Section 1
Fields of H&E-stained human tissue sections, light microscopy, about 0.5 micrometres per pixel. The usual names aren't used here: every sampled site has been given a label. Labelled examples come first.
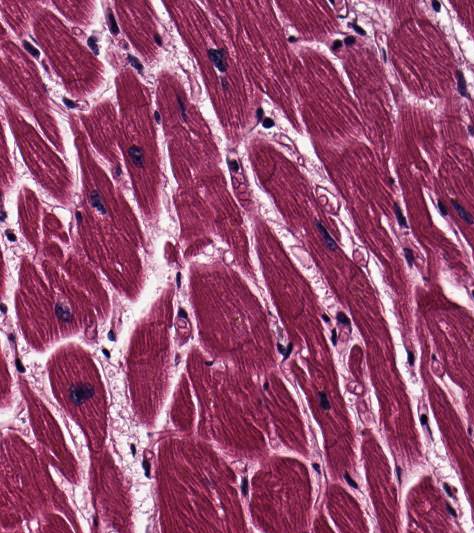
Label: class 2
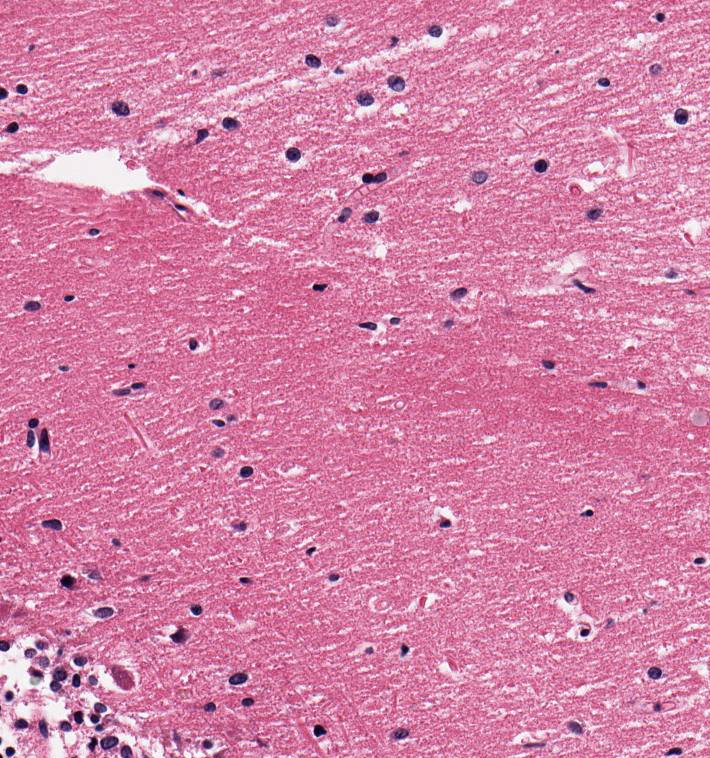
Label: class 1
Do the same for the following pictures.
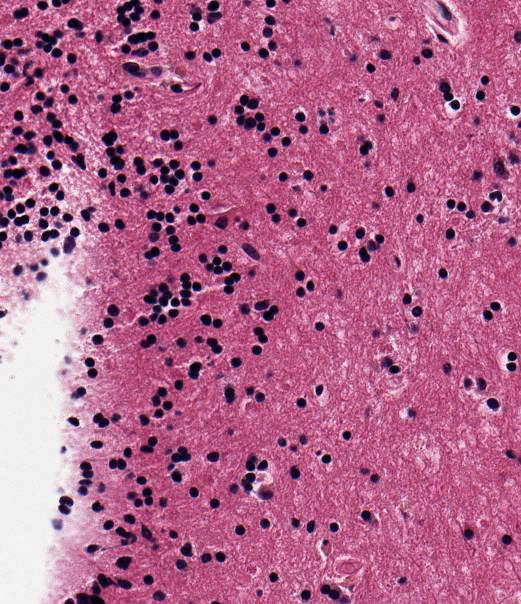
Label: class 1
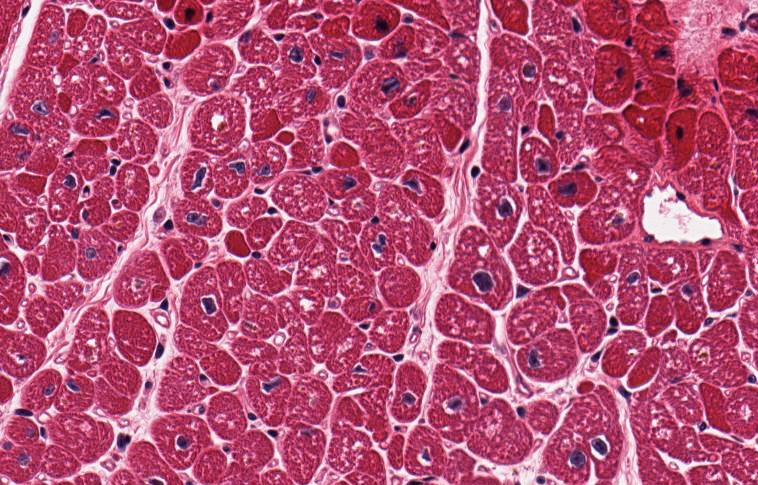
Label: class 2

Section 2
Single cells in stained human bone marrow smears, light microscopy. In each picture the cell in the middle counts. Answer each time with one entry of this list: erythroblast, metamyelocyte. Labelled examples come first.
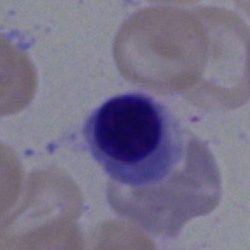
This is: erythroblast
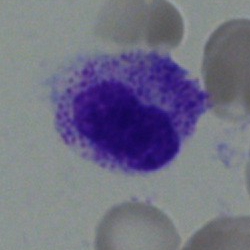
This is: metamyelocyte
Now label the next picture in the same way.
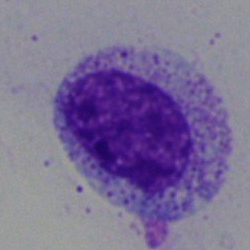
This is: metamyelocyte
